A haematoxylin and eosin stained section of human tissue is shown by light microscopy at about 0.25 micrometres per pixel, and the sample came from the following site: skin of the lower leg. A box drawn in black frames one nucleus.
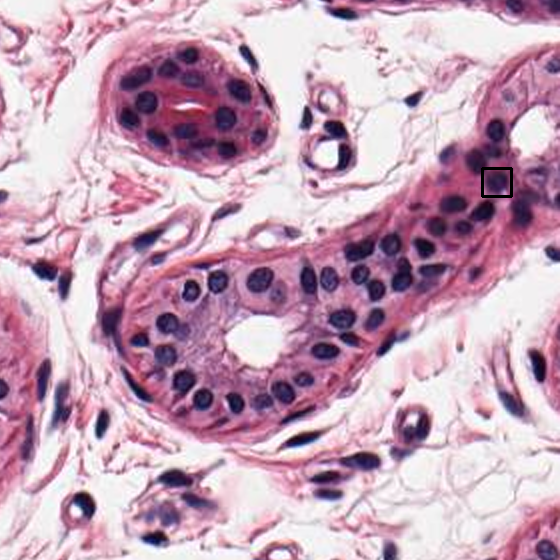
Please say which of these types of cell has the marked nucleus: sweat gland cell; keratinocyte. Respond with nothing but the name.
sweat gland cell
